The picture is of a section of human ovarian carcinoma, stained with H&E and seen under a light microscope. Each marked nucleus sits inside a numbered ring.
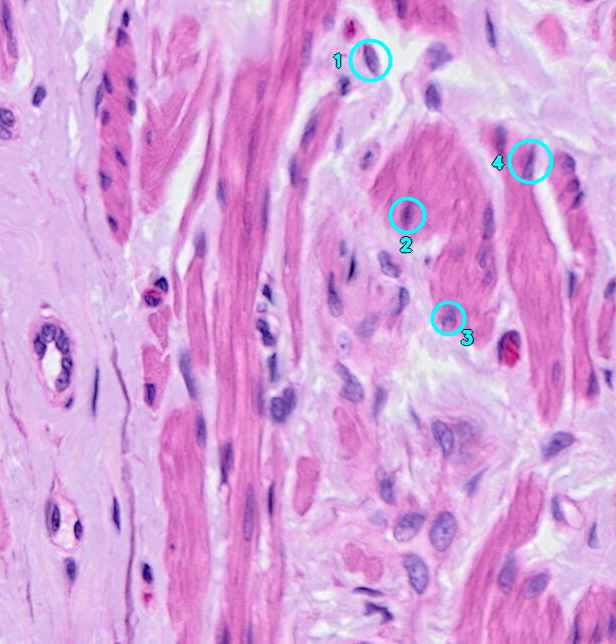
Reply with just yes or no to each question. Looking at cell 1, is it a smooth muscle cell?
no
